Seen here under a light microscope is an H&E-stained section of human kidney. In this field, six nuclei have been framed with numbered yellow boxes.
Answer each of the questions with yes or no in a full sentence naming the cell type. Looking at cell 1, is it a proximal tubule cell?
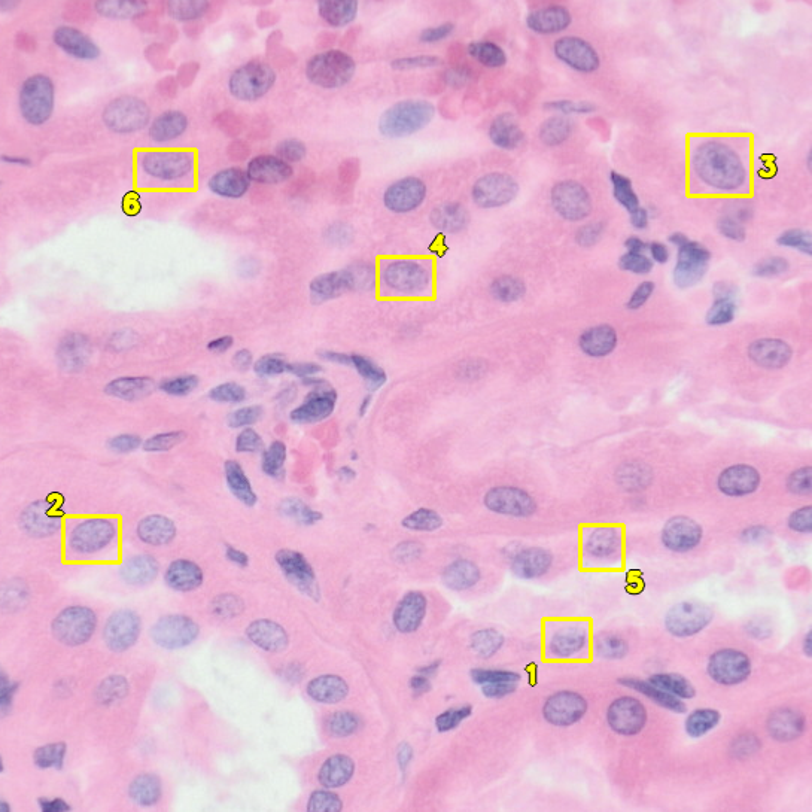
No. Cell number 1 is a loop of Henle or distal tubule cell, not a proximal tubule cell.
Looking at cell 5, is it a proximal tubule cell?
No, number 5 belongs to a loop of Henle or distal tubule cell, not to a proximal tubule cell.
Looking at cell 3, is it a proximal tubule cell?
Yes, that is correct: the cell numbered 3 is a proximal tubule cell.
